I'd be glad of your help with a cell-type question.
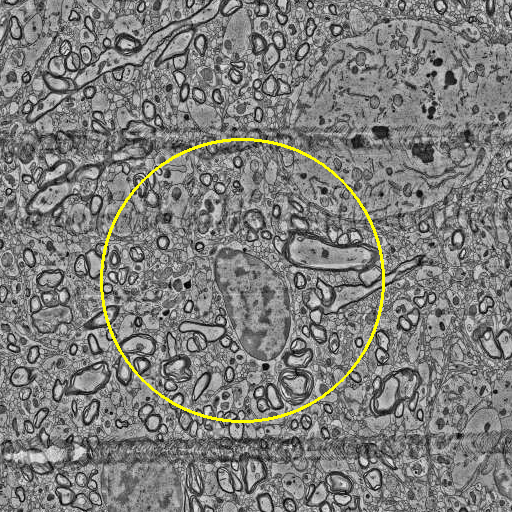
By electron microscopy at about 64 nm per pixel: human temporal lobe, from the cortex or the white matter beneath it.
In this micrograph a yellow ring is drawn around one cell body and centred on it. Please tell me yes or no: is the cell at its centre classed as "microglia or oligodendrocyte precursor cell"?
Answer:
yes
